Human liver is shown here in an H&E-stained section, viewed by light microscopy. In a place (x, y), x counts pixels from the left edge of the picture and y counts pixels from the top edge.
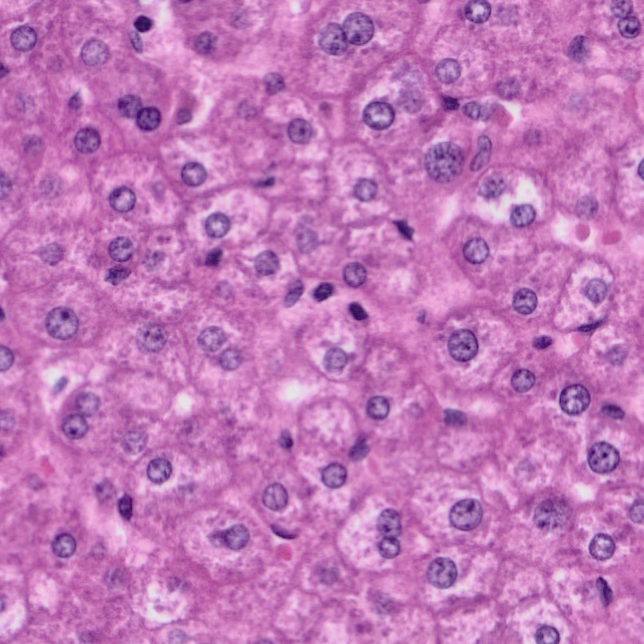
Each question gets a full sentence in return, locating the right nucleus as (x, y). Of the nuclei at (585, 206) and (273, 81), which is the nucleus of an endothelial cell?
The nucleus at (273, 81) is the member of the pair belonging to an endothelial cell.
